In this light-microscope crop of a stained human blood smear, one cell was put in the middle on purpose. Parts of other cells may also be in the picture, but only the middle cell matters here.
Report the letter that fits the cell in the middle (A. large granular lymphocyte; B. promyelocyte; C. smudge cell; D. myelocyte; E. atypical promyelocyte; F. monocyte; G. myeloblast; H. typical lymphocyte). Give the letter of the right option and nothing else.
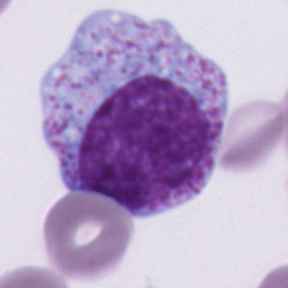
B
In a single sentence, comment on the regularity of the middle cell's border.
The cell shows an uneven border, formed by ragged areas or by outward projections.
